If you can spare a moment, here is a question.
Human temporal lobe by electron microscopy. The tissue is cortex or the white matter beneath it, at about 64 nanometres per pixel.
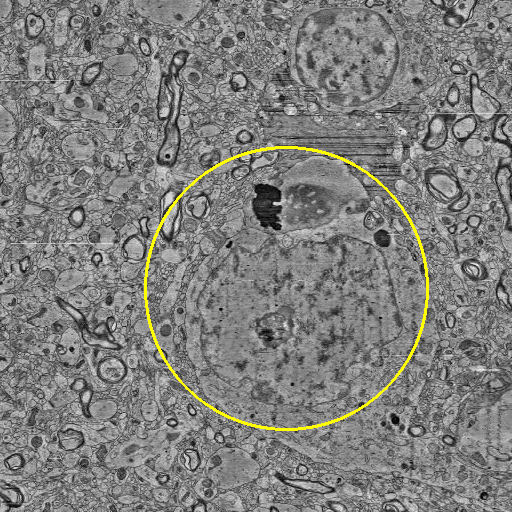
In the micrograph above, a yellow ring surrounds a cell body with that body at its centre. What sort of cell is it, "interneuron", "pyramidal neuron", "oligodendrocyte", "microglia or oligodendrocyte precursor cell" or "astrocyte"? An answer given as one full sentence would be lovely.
Centred inside the yellow ring, the cell body shown belongs to an interneuron in this micrograph.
